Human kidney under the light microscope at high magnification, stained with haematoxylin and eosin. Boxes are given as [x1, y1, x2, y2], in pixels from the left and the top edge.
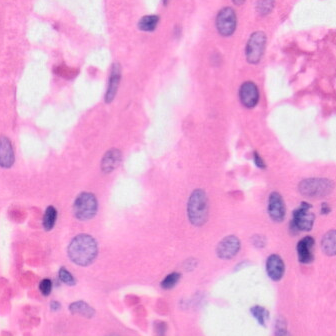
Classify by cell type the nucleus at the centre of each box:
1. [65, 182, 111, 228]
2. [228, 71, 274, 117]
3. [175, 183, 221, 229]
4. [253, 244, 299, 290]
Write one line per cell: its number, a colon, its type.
1: proximal tubule cell
2: proximal tubule cell
3: proximal tubule cell
4: loop of Henle or distal tubule cell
